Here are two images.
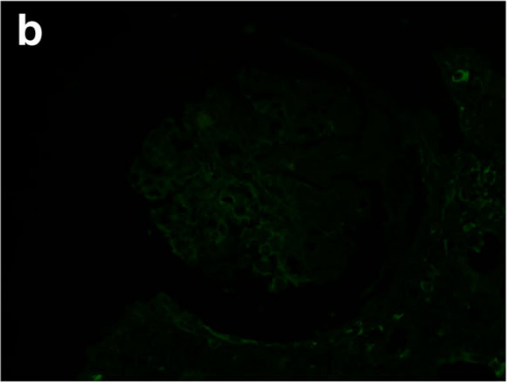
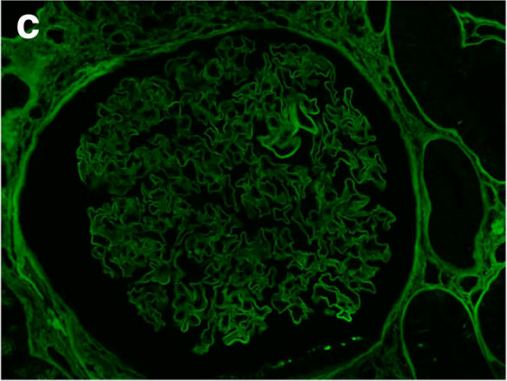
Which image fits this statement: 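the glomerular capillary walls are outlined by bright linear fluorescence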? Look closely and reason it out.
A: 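The second image. First image: the glomerulus is dark with only faint diffuse background fluorescence. Second image: thin bright green lines trace all the capillary loops of the glomerulus and the surrounding tubular outlines.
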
